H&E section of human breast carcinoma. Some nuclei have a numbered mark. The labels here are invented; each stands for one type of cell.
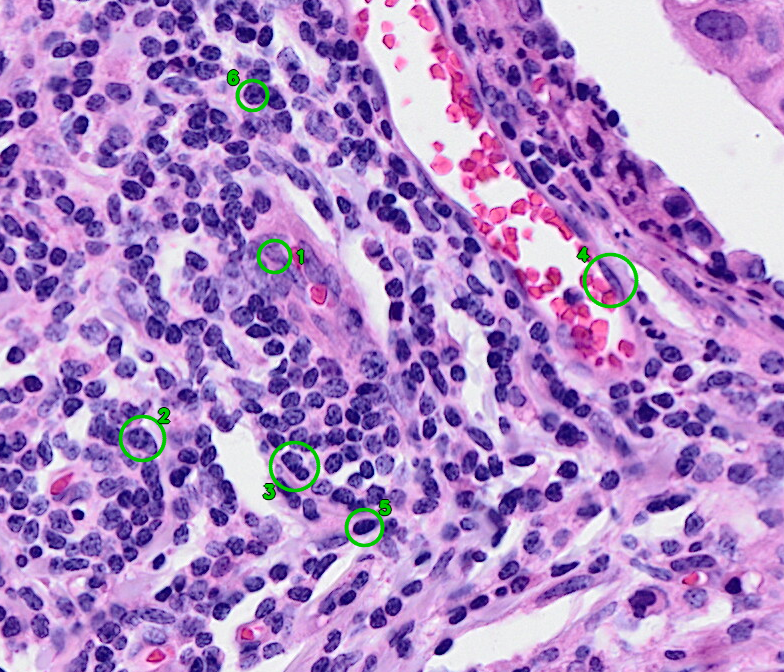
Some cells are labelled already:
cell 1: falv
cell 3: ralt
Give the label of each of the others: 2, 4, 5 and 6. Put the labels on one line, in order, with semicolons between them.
ralt; falv; ralt; ralt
